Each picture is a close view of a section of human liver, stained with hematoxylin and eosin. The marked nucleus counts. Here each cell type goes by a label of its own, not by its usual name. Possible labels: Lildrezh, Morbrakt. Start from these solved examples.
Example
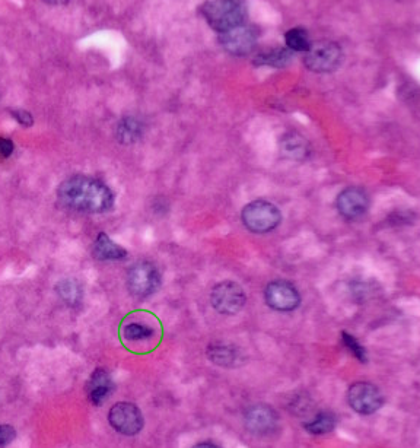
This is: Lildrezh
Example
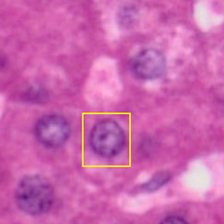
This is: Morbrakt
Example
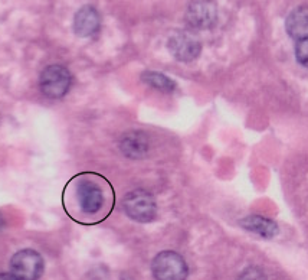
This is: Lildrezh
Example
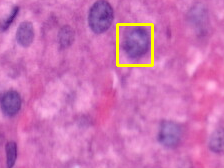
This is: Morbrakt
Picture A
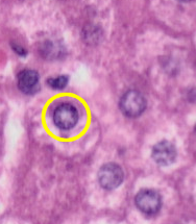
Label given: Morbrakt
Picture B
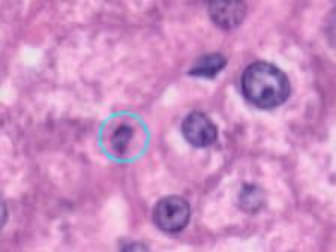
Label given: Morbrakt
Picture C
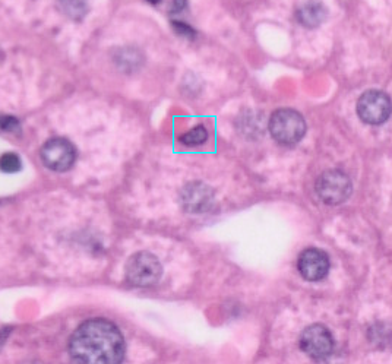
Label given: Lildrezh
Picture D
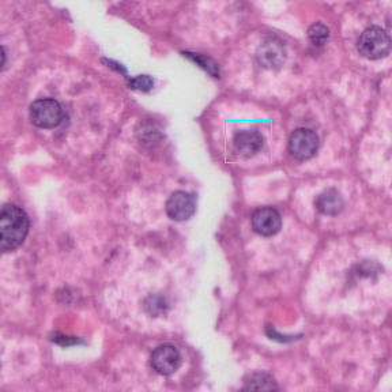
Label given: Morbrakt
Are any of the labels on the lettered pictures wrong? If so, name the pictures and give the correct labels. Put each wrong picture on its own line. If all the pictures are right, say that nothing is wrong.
B should be Lildrezh, not Morbrakt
